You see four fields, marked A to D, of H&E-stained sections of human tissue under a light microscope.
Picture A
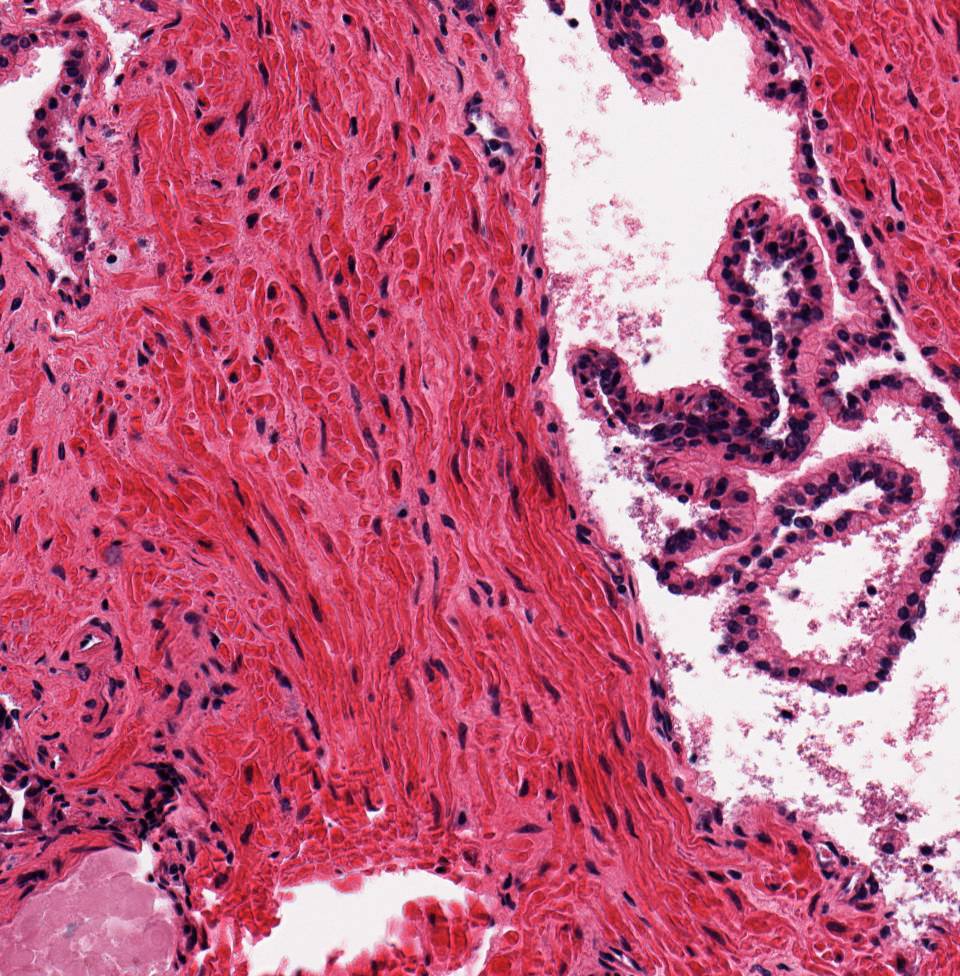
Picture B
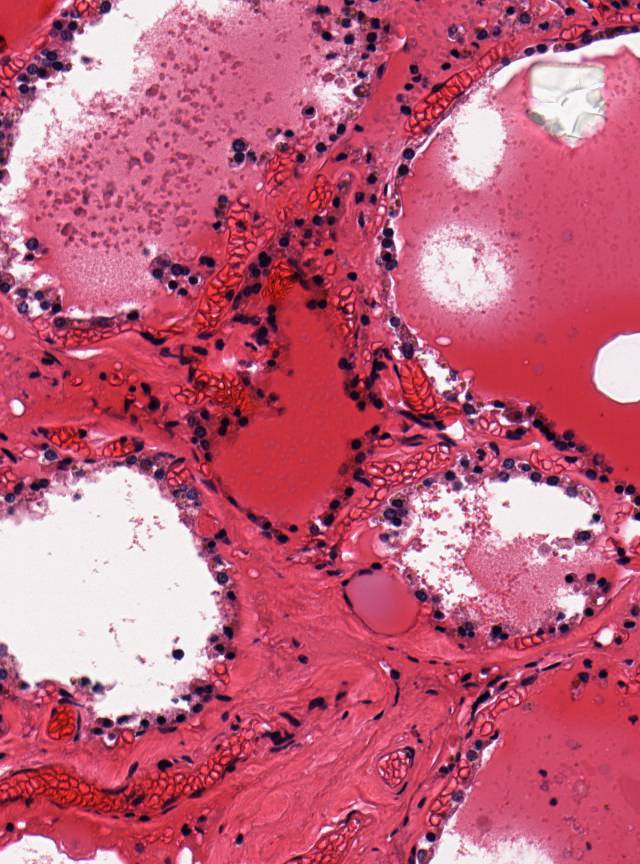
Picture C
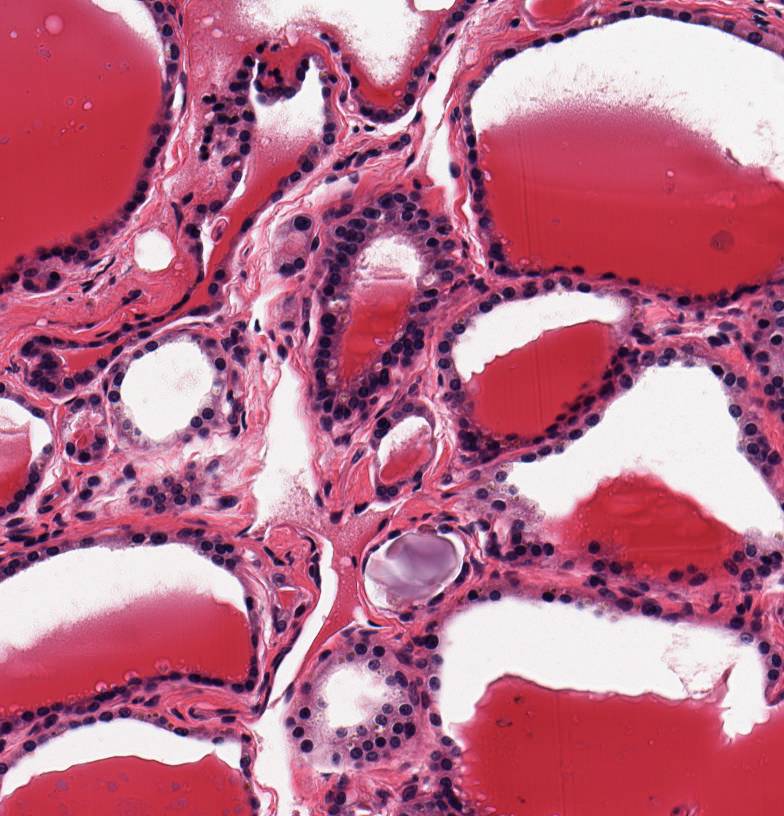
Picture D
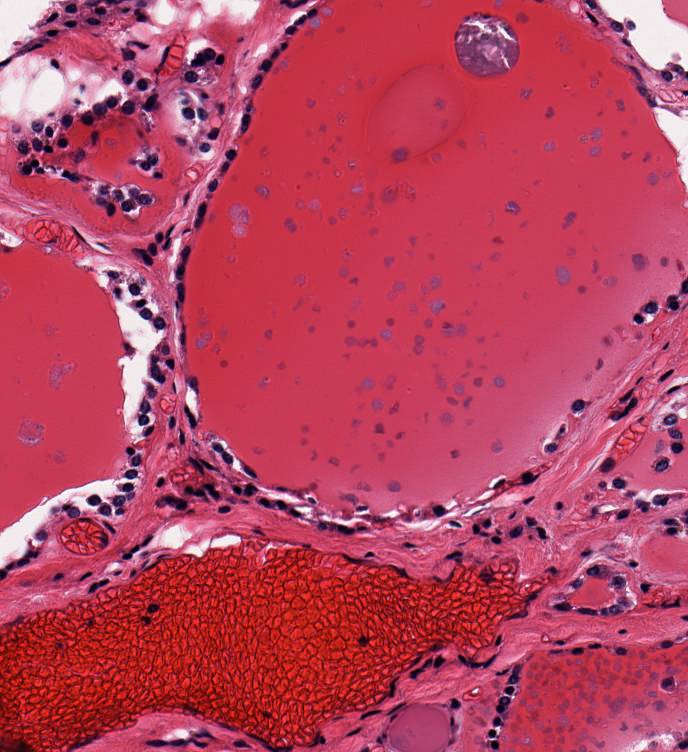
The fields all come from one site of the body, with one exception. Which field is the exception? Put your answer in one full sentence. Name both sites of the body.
The others come from the thyroid, but picture A comes from the prostate.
